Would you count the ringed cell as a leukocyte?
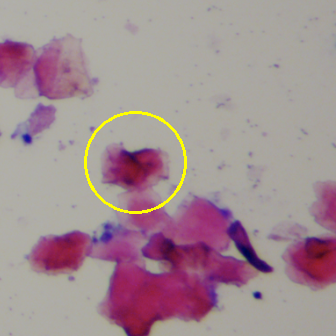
No, I would count it as a cornified epithelial cell.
